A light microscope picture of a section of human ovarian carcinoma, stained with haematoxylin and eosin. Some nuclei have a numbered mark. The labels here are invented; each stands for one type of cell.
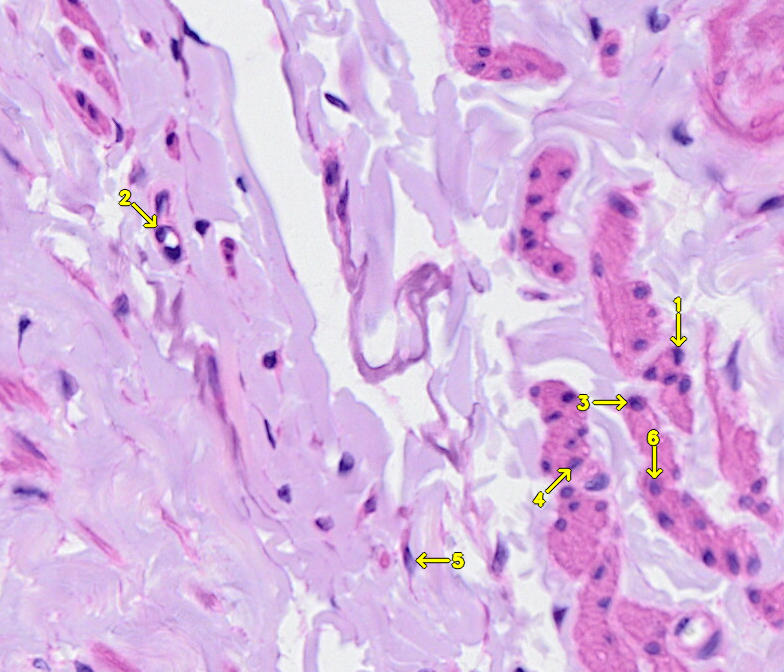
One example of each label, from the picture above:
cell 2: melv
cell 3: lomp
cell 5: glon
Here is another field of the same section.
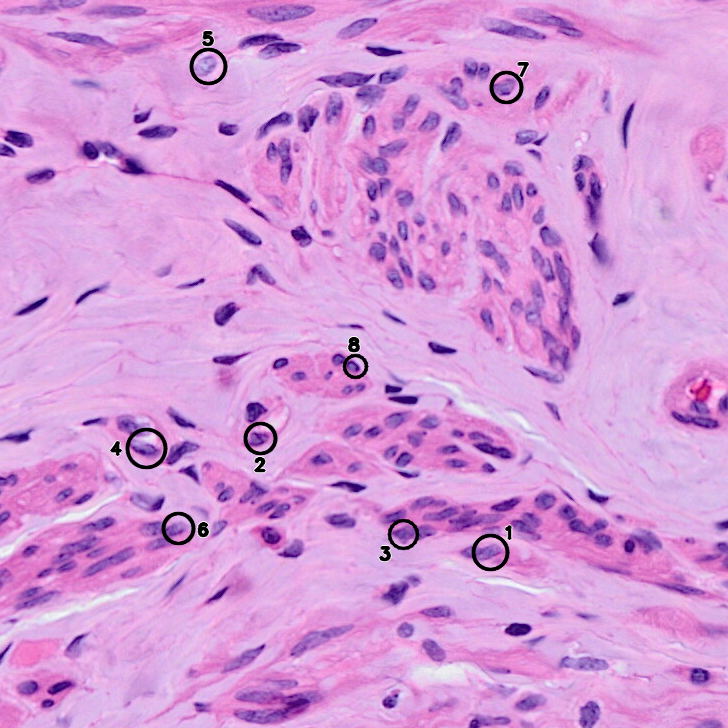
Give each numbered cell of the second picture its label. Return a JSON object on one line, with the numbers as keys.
{"1": "lomp", "2": "melv", "3": "lomp", "4": "melv", "5": "glon", "6": "lomp", "7": "lomp", "8": "lomp"}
